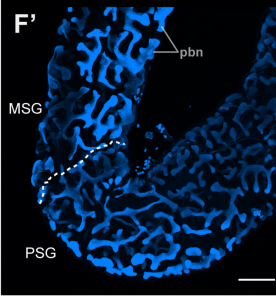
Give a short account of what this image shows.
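Here the wall of a curved silk gland tube is seen in blue, and what stands out are its nuclei: instead of small round dots they are huge, ribbon-like shapes that branch again and again, like coral or antlers, each filling much of a very large cell. These polyploid branched nuclei sit in a single layer of large cells wrapped around the gland's central cavity. A dotted line crosses the tube where one region of the gland meets the next; on both sides the nuclei look alike in their branching, packed closely across the whole surface of the tube.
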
